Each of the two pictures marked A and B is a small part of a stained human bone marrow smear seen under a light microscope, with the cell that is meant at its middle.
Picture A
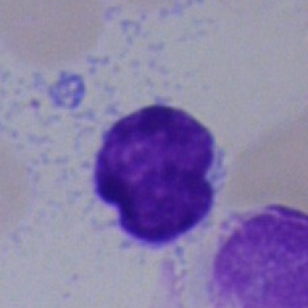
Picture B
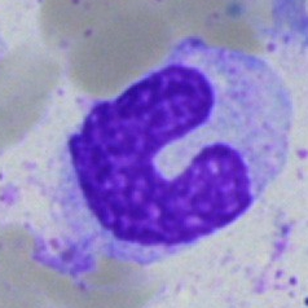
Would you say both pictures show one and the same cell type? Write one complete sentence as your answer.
No, the types are not the same, since picture A shows a lymphocyte and picture B a monocyte.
